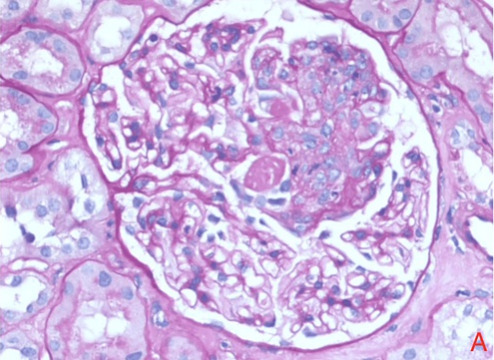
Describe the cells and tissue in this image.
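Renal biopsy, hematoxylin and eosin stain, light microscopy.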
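Within the tuft, the lower and left parts show open capillary loops with thin pink walls and scattered nuclei. In the upper right, a segment of the tuft looks more solid: many crowded nuclei sit in pink matrix, and the open loops are lost there. This segmental crowding of cells and matrix is where the change in this glomerulus lies.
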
